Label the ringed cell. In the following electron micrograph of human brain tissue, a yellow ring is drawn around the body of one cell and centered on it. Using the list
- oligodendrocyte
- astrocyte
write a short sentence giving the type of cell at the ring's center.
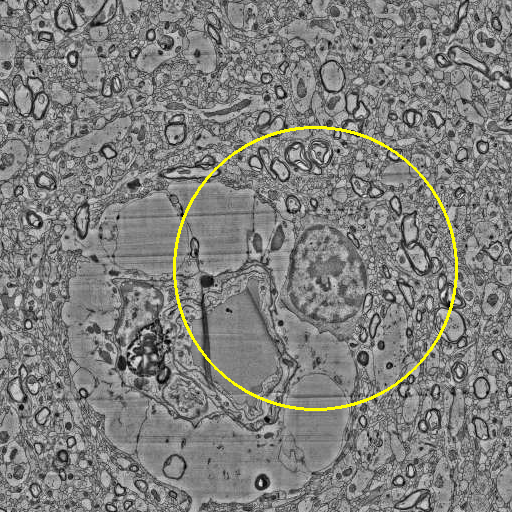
The cell body at the ring's center is that of an oligodendrocyte.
